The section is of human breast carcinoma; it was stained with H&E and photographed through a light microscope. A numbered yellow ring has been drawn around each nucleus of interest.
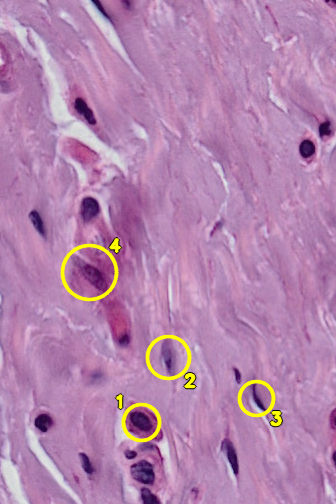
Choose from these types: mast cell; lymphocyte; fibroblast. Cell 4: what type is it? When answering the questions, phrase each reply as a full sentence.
Numbered cell 4 is a fibroblast in this tissue section.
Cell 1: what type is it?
Identified by the number 1, the cell is a mast cell.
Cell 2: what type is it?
The identity of cell 2 is that of a fibroblast.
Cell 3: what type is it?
At number 3, the marked cell is a fibroblast.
